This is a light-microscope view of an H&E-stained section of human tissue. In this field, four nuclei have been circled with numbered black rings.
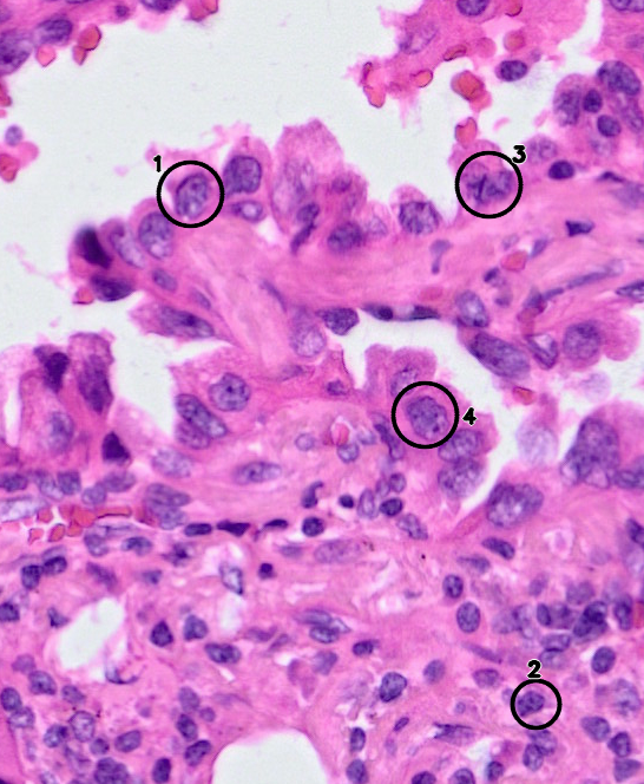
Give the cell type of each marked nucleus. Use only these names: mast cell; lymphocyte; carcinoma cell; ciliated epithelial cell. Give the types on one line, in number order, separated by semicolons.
carcinoma cell; lymphocyte; carcinoma cell; carcinoma cell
